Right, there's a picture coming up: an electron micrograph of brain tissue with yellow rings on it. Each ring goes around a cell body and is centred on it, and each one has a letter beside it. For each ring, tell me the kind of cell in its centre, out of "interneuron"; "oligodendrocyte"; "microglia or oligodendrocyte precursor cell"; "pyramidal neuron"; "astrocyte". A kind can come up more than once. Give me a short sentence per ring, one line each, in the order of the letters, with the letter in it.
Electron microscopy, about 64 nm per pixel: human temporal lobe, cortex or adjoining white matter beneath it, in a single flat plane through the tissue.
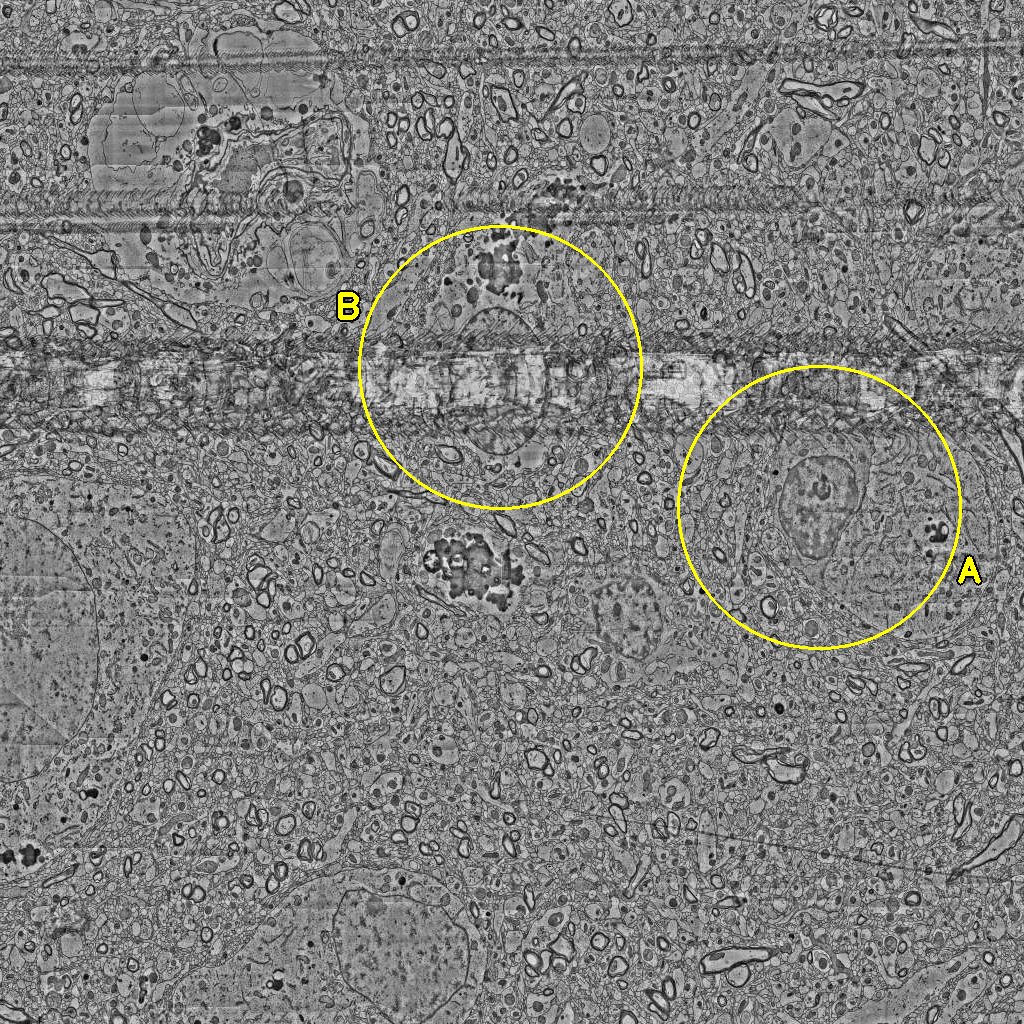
That's an oligodendrocyte in ring A.
That's an astrocyte in ring B.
